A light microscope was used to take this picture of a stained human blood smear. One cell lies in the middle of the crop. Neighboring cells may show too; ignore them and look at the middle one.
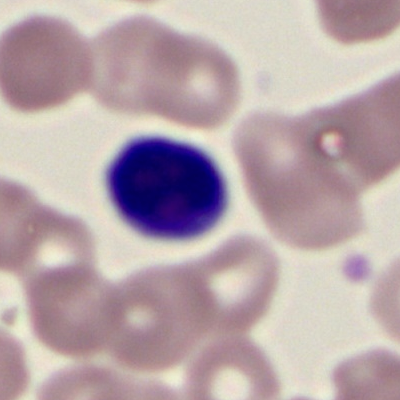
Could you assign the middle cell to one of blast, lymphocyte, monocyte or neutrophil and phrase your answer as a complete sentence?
Among the cells in view, the one in the middle is a lymphocyte.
